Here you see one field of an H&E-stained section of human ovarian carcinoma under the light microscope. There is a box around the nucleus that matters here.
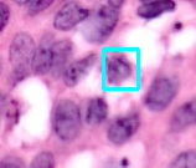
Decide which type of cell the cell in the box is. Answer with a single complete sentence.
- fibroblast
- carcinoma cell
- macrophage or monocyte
In this section, the cell in the box is a macrophage or monocyte.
